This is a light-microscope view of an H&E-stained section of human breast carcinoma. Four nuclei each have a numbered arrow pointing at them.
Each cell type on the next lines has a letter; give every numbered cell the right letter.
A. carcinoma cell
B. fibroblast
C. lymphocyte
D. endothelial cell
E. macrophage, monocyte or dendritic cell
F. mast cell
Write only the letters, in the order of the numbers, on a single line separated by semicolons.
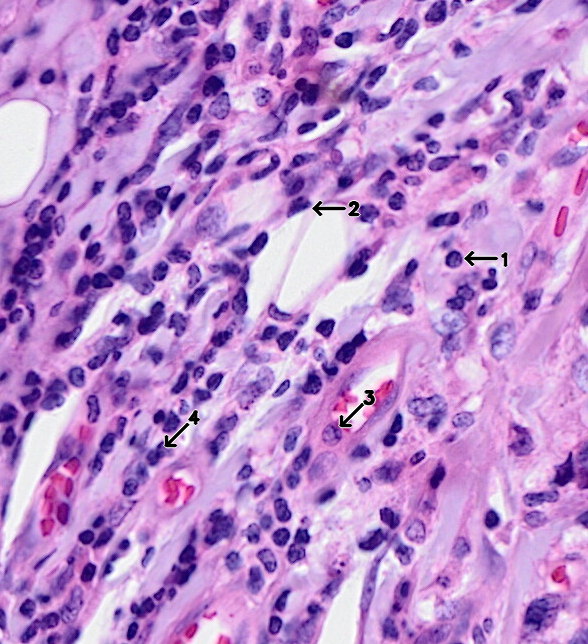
C; C; D; C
